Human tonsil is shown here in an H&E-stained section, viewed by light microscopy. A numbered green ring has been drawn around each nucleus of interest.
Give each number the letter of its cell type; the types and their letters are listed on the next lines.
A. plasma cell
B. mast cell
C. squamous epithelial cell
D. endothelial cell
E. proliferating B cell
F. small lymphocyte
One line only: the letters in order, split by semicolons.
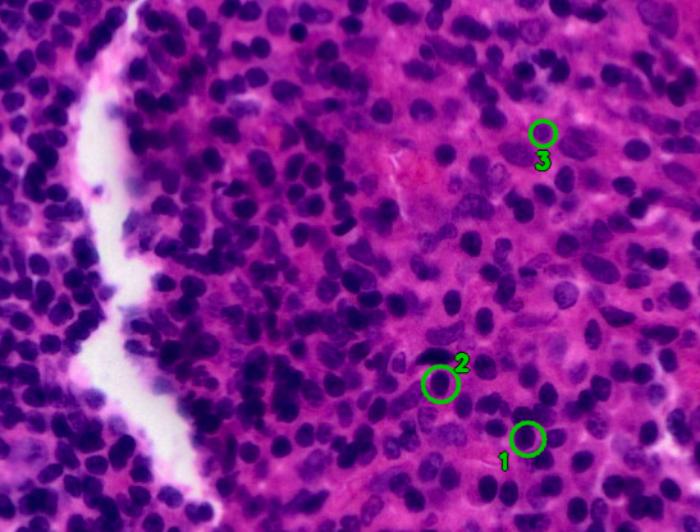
A; A; C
